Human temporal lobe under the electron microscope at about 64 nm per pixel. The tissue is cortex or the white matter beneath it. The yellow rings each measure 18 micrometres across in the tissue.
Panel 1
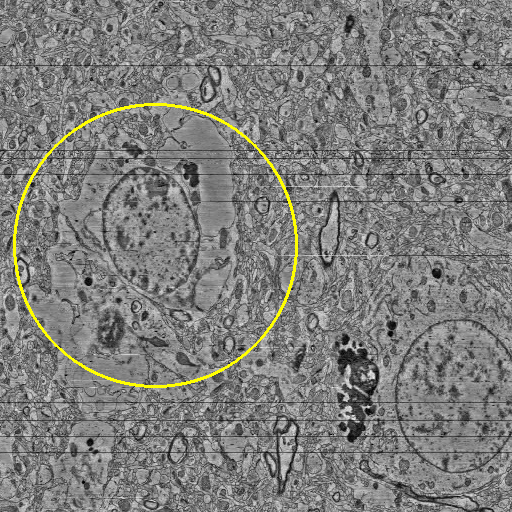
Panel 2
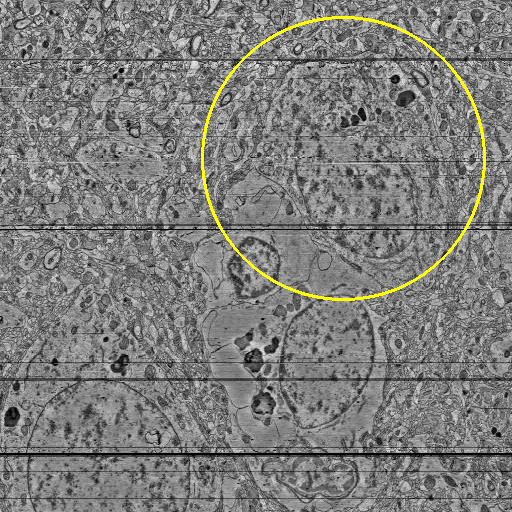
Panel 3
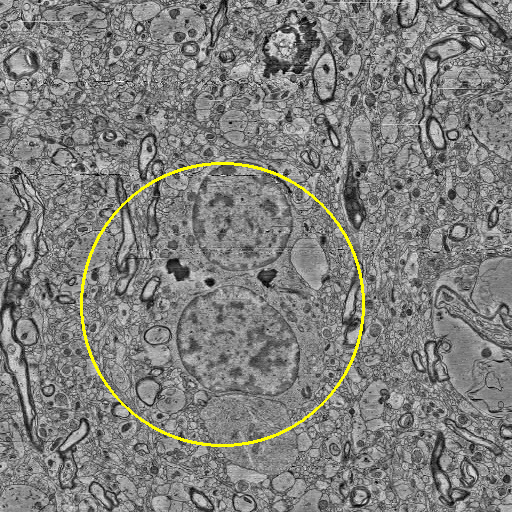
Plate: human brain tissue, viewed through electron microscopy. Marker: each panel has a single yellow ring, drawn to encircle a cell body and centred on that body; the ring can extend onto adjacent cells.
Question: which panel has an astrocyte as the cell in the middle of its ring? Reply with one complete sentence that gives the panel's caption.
Panel 1 is where the requested cell sits at the centre of the ring.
